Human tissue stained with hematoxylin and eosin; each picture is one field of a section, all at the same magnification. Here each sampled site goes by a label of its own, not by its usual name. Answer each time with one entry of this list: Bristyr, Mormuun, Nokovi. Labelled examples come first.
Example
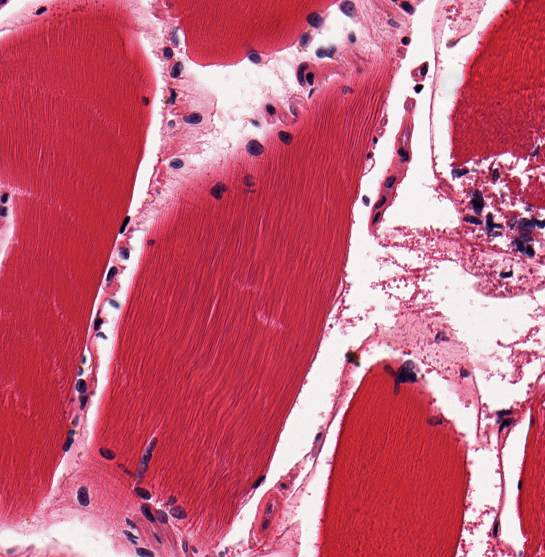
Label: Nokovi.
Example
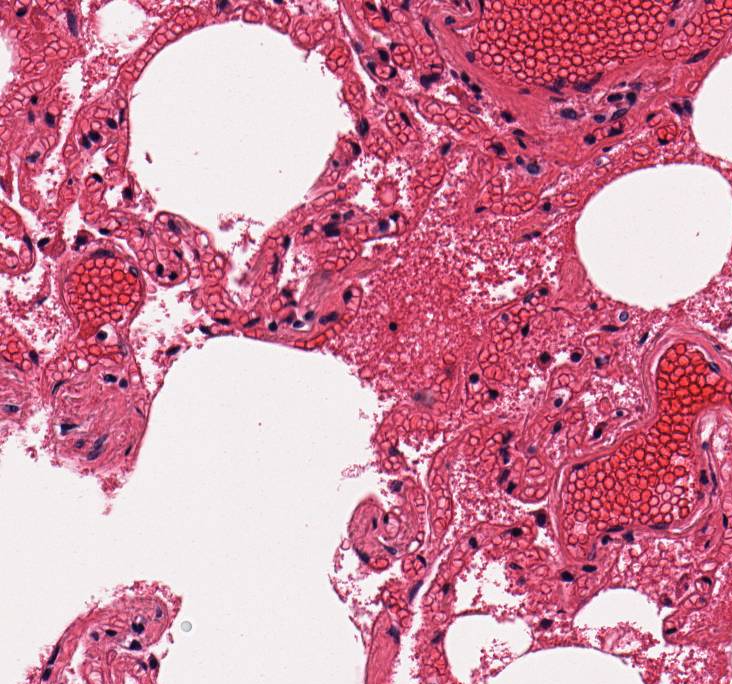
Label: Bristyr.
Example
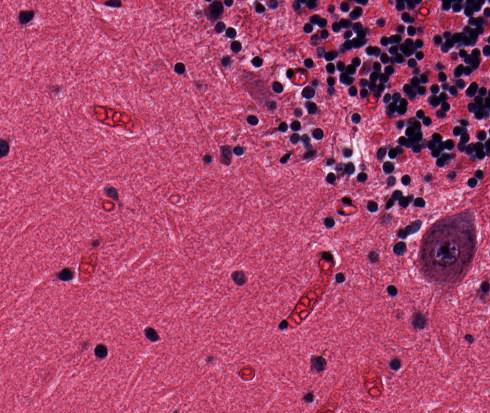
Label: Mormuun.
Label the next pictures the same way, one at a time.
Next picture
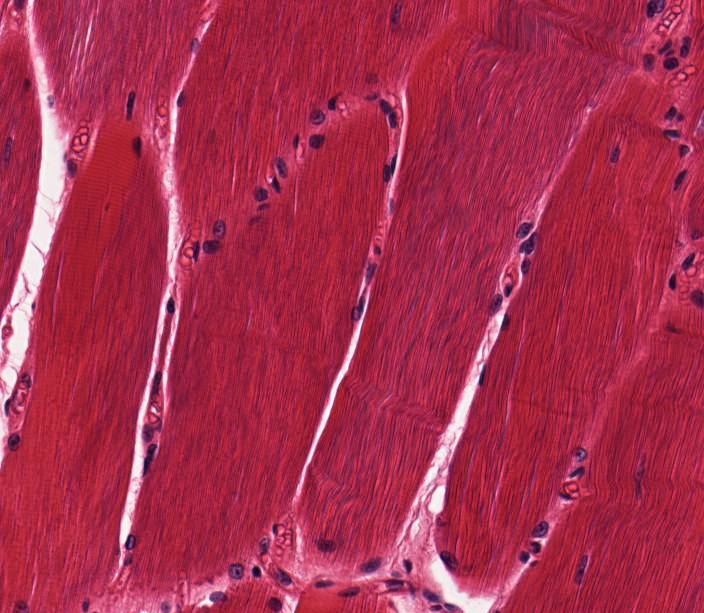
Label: Nokovi.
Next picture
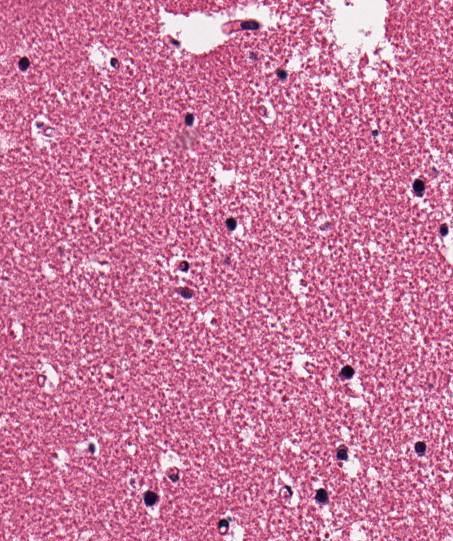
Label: Mormuun.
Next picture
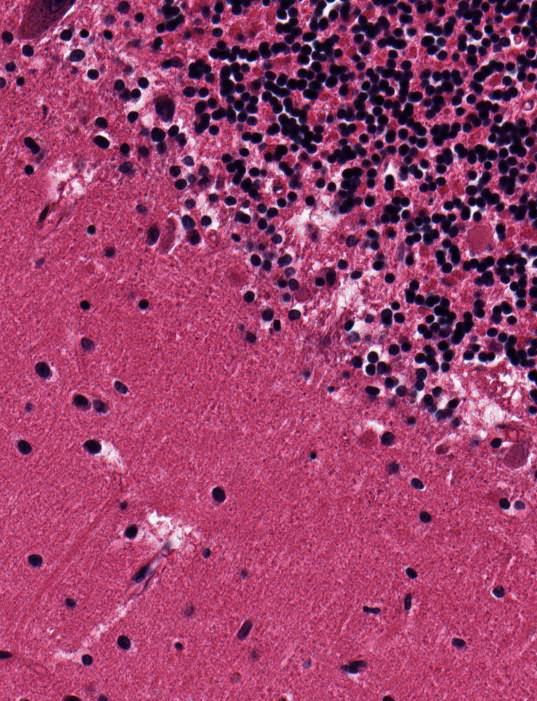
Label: Mormuun.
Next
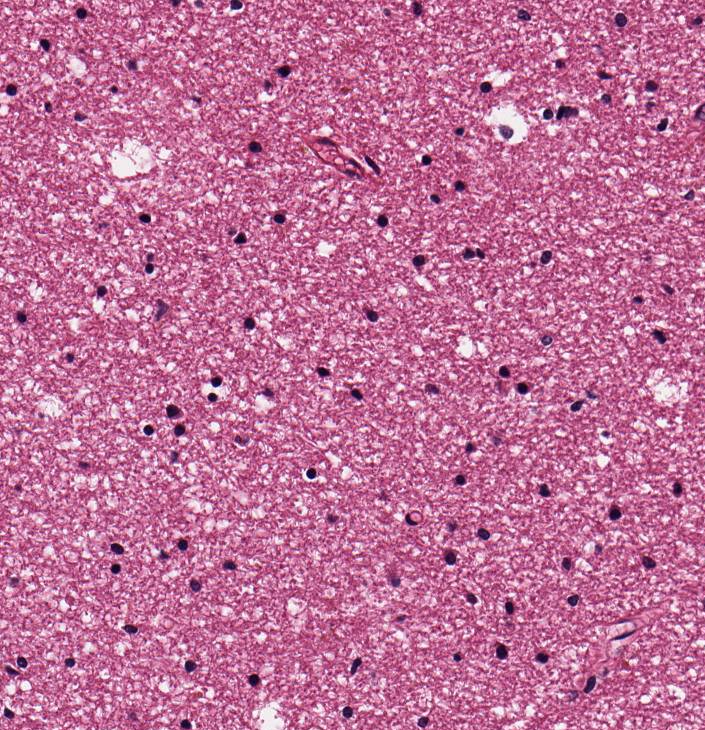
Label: Mormuun.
